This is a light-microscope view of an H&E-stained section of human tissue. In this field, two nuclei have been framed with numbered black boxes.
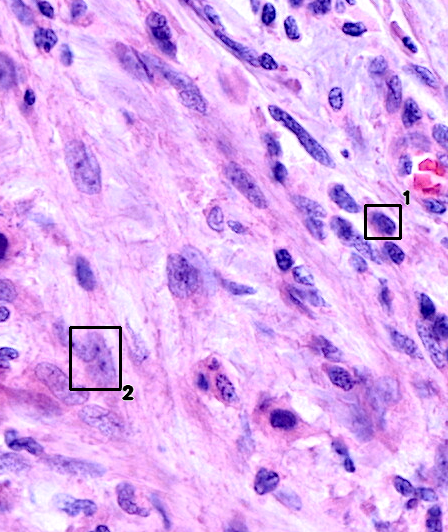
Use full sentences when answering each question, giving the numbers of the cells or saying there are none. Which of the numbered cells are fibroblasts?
Of all the cells bearing numbers, cell 2 is the only one that is a fibroblast.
